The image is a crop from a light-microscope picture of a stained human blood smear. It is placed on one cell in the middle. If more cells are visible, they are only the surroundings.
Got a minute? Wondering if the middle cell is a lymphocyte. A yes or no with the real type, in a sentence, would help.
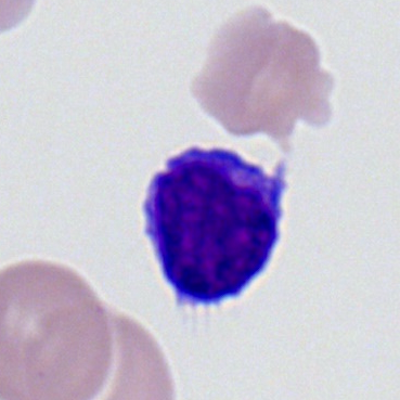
Yes, the cell of interest in the centre is a lymphocyte.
